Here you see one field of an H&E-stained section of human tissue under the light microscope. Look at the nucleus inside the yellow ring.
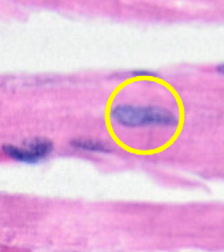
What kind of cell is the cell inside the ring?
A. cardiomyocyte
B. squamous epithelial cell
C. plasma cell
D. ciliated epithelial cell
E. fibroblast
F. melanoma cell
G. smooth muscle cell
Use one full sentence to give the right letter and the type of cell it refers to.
Option A is accurate, for the cell inside the ring is a cardiomyocyte.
